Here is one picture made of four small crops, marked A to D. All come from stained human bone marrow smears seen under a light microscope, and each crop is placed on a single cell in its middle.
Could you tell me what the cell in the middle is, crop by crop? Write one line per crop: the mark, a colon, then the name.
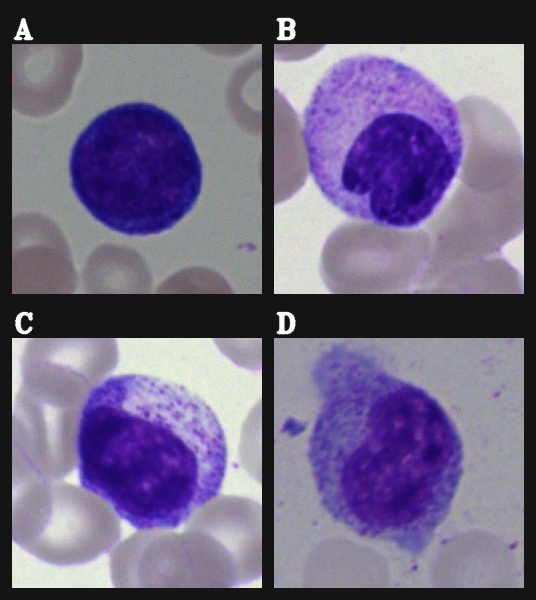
A: blast
B: metamyelocyte
C: myelocyte
D: metamyelocyte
